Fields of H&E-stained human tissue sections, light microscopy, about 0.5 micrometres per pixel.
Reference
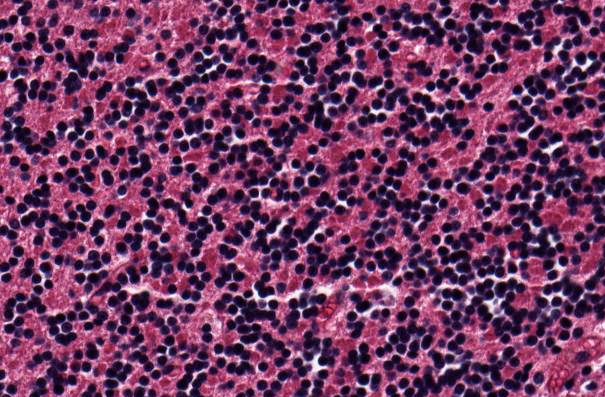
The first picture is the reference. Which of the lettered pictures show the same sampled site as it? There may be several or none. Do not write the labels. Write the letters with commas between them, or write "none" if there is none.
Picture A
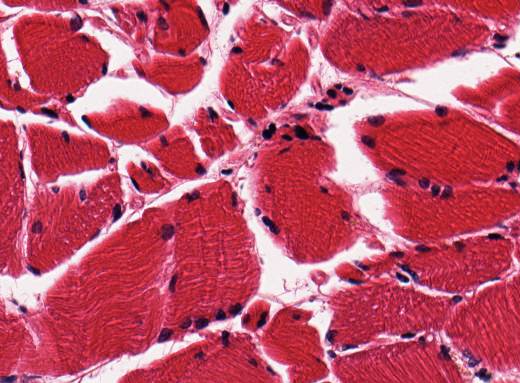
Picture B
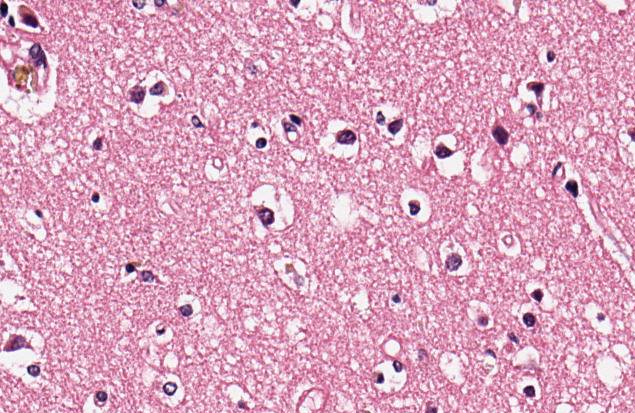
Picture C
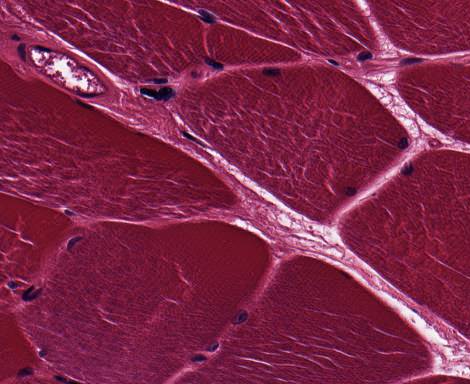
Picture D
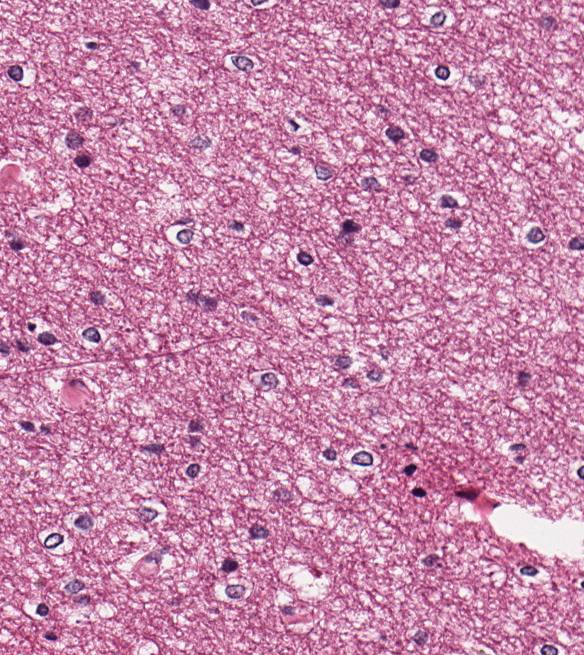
none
